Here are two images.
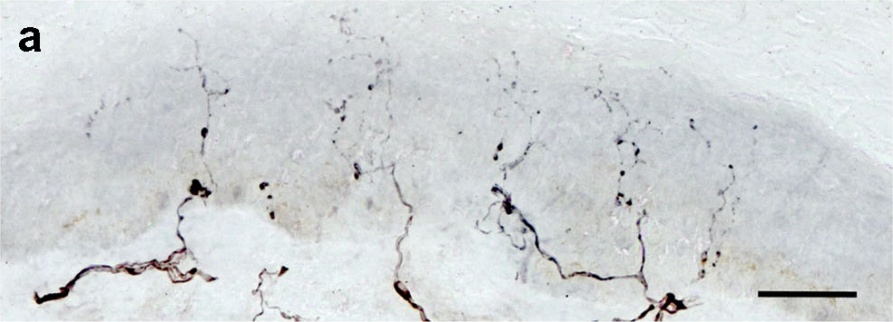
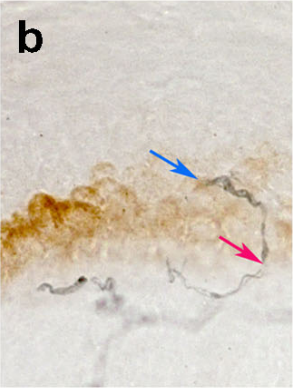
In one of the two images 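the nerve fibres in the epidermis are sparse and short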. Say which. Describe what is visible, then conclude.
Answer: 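Second image: only one short looping fibre enters the epithelium. First image: many long branching fibres reach high into the epithelium. That points to this answer: the second image.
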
